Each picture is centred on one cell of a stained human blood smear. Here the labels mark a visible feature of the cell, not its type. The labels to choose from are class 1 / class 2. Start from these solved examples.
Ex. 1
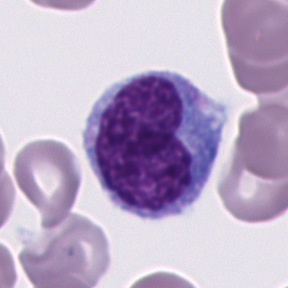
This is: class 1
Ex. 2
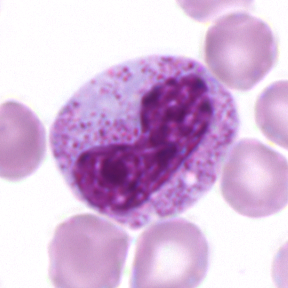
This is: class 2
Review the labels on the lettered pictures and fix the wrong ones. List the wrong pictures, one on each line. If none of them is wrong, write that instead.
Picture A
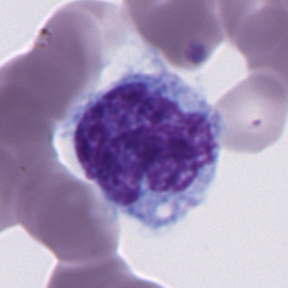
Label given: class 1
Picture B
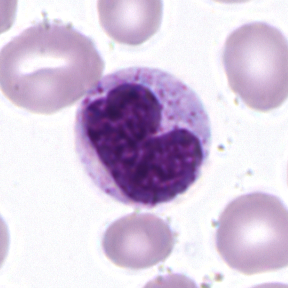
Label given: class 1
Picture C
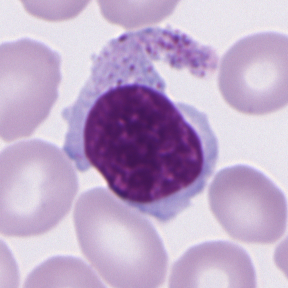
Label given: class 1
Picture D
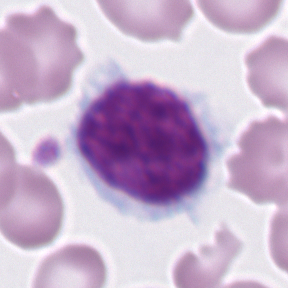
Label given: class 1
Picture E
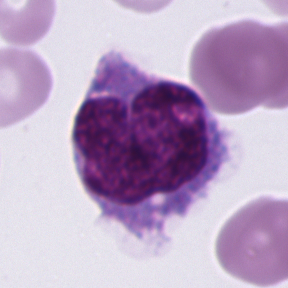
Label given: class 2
B: class 2, not class 1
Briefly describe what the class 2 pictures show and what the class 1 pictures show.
In class 2: lobed nucleus. In class 1: single compact nucleus.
